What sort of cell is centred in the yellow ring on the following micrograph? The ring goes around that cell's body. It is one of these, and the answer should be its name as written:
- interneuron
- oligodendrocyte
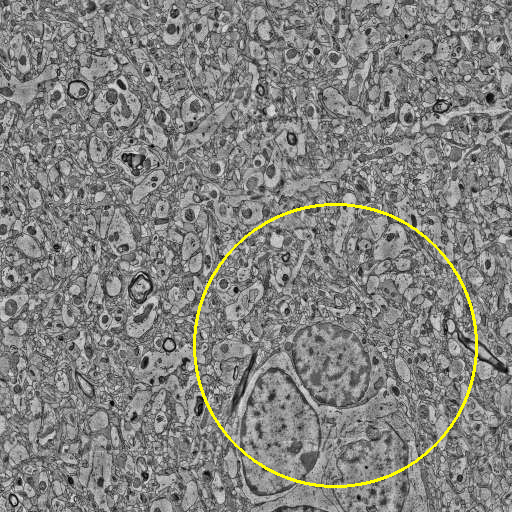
oligodendrocyte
